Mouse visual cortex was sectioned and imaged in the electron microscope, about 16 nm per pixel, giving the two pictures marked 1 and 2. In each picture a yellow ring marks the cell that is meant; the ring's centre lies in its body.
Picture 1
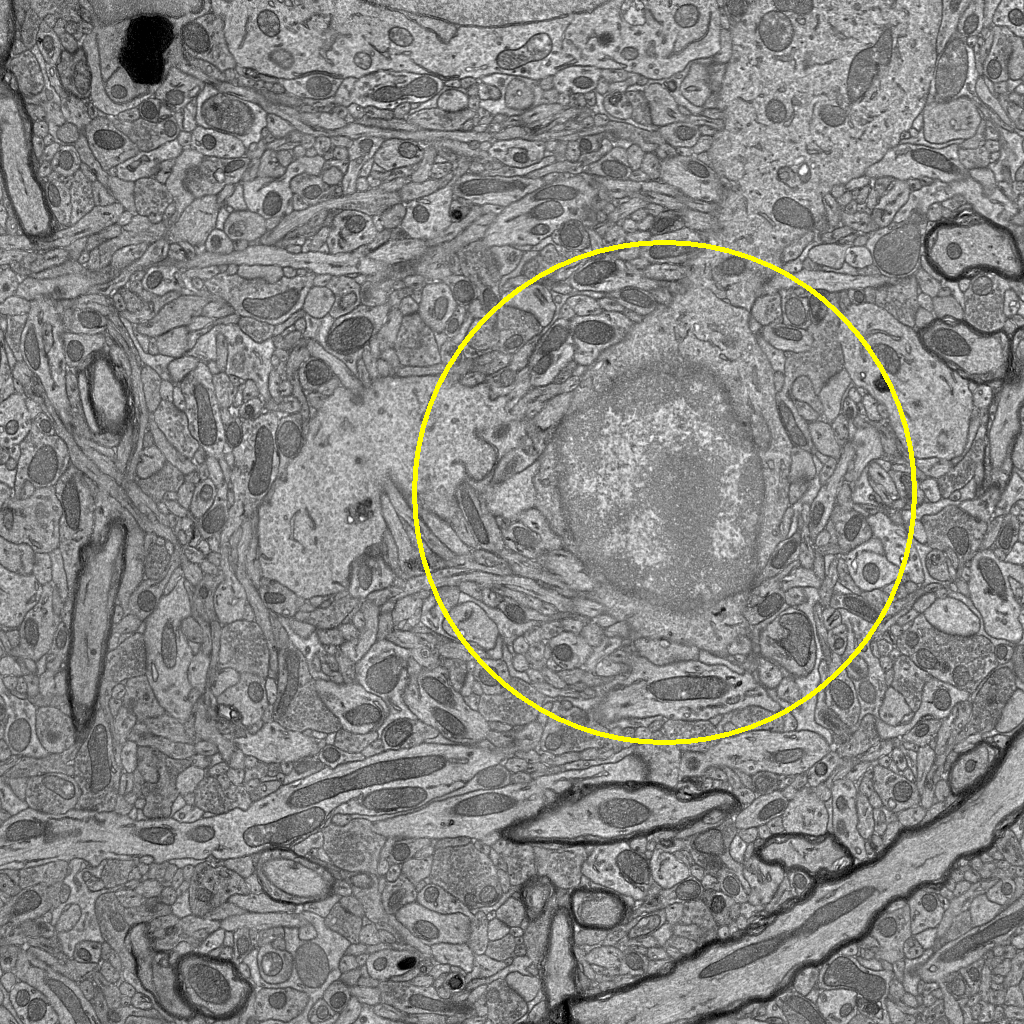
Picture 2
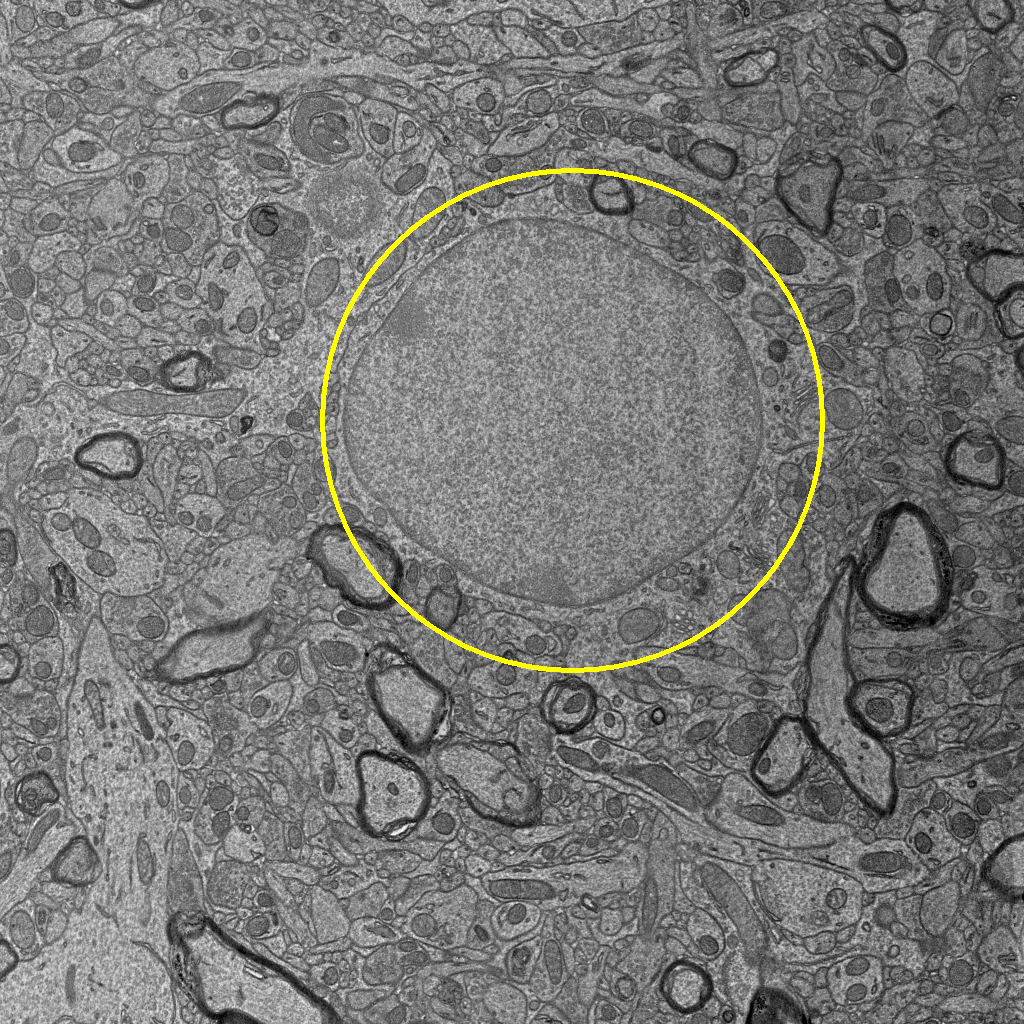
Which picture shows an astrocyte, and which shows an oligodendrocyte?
The cell in picture 1 is an oligodendrocyte, and the one in picture 2 is an astrocyte.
